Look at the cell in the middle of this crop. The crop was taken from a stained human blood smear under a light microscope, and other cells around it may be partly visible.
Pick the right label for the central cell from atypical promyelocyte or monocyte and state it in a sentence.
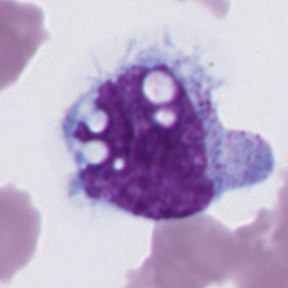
The target cell in the middle of the crop is a monocyte.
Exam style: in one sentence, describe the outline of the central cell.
The cell is outlined unevenly, the border being ragged or extended into projections.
